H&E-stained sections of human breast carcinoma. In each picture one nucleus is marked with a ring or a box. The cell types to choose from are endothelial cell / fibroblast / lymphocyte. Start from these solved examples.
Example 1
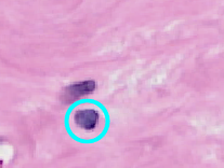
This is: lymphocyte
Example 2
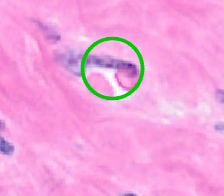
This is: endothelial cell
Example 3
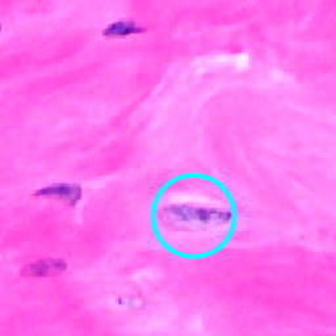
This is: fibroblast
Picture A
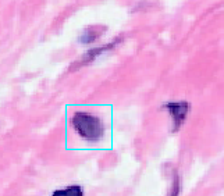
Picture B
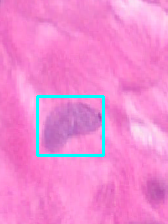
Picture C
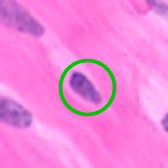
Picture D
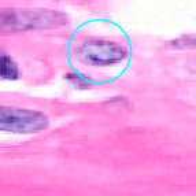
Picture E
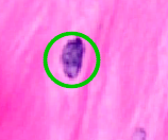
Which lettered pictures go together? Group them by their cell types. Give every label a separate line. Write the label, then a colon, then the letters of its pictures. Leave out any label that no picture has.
endothelial cell: D
fibroblast: B
lymphocyte: A, C, E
